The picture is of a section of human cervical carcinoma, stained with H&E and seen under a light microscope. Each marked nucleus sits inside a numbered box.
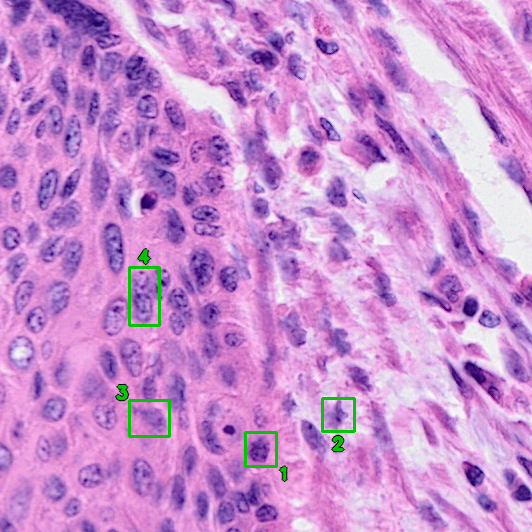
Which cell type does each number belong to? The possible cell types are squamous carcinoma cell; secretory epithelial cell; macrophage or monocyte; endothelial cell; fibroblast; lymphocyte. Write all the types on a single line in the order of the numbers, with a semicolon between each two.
squamous carcinoma cell; fibroblast; squamous carcinoma cell; squamous carcinoma cell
